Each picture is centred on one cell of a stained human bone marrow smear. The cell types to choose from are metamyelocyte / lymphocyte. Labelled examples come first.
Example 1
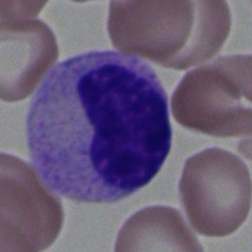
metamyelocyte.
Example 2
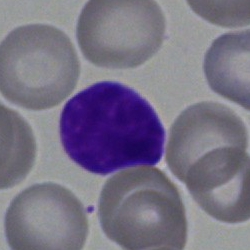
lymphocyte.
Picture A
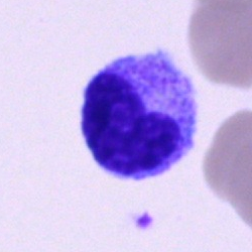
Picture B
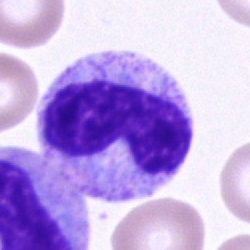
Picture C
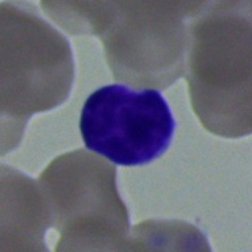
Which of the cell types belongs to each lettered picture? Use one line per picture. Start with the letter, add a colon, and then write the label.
A: metamyelocyte.
B: metamyelocyte.
C: lymphocyte.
